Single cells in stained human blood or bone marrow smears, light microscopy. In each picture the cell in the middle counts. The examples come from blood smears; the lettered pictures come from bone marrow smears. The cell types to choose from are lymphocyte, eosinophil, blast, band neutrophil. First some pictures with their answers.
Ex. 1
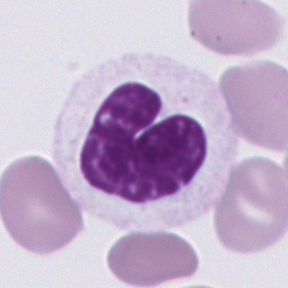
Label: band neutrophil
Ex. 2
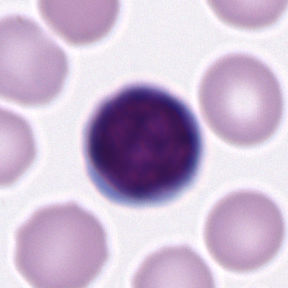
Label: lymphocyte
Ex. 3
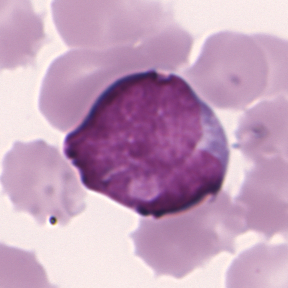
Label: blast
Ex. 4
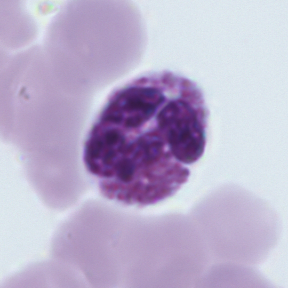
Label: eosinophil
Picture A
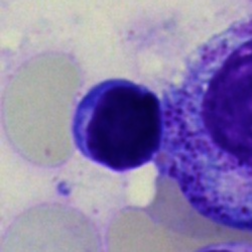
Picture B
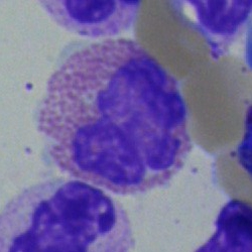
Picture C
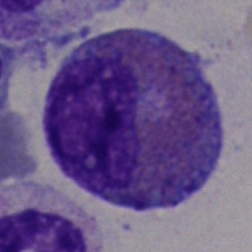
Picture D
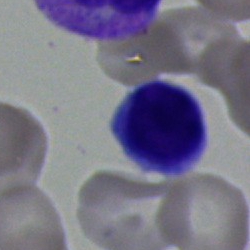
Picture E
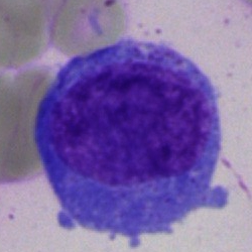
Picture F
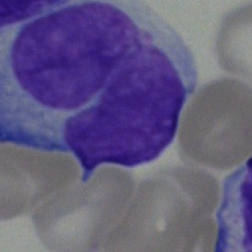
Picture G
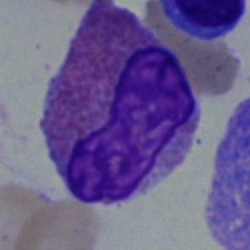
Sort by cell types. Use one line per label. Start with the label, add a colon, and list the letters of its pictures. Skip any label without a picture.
lymphocyte: A, D
eosinophil: B, C, G
blast: E, F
